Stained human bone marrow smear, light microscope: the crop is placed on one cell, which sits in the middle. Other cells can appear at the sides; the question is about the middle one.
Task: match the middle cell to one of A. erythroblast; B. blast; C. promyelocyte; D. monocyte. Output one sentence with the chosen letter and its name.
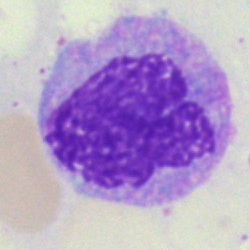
With the cell in the middle being a monocyte, option D is the correct choice.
